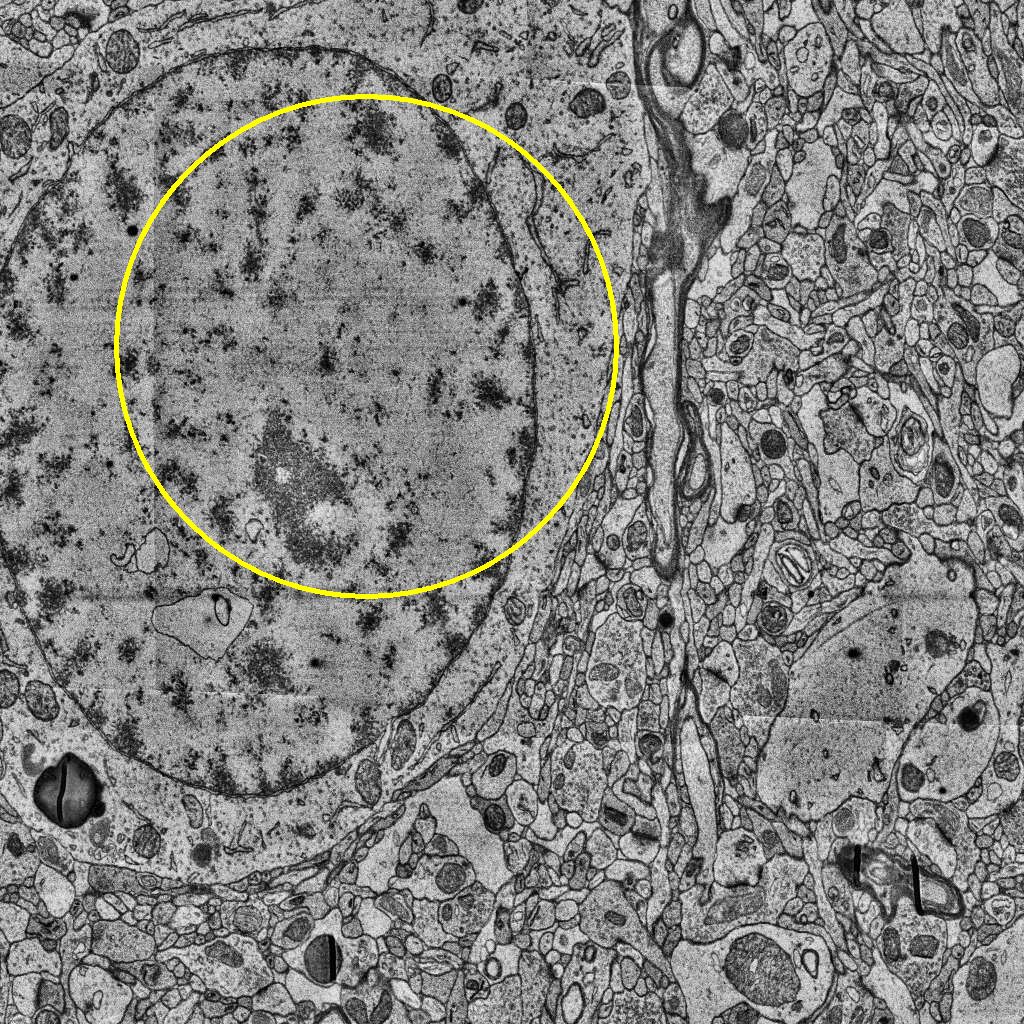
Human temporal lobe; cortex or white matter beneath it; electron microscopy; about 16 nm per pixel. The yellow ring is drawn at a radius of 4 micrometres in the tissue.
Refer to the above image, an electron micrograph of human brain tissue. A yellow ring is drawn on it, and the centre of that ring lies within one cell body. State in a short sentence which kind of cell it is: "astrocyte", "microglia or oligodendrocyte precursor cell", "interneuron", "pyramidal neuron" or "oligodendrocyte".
The centre of the ring falls on a pyramidal neuron.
